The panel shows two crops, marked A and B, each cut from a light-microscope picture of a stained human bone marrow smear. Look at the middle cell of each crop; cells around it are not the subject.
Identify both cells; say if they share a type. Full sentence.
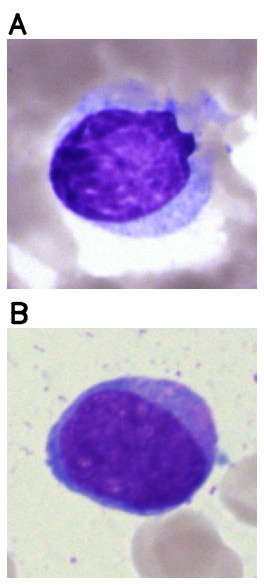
No, crop B holds a blast, while crop A holds a hairy cell.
